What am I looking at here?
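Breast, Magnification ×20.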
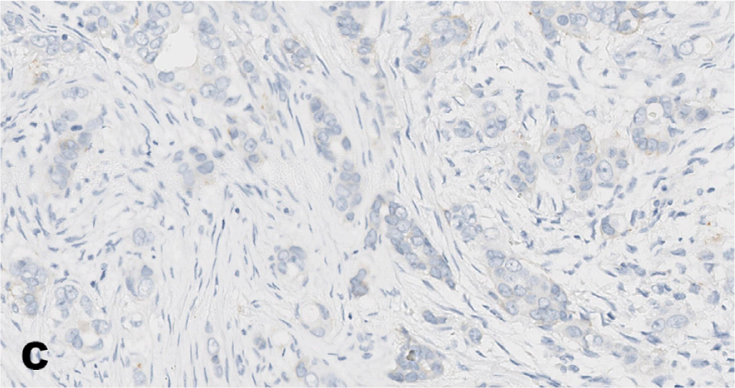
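Invasive carcinoma composed of irregular nests and small glandular clusters of epithelial cells set in a stroma of spindle-shaped cells. Tumour cells have enlarged round, pale nuclei with nucleoli and moderate amounts of pale cytoplasm, some forming small lumens. Cell membranes show no distinct brown staining; nuclei are blue throughout.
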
